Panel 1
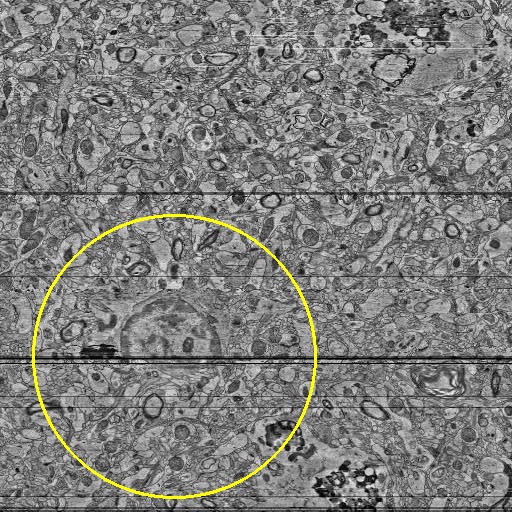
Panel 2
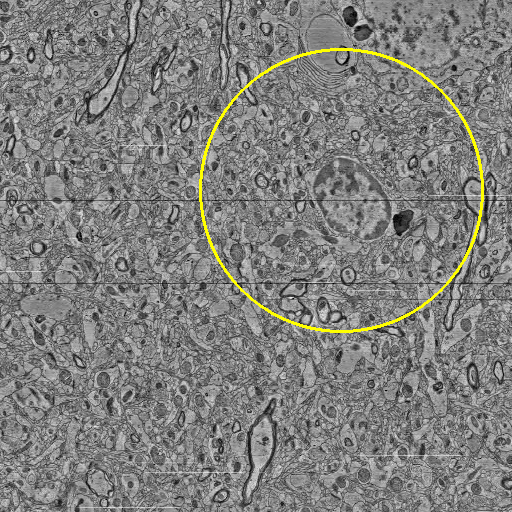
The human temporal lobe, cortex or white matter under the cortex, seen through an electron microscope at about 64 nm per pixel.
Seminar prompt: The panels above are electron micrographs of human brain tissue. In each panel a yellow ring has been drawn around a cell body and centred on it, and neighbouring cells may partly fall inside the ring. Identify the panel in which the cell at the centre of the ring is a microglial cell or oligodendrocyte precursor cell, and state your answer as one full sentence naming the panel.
Panel 2 has it at the centre of its ring.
